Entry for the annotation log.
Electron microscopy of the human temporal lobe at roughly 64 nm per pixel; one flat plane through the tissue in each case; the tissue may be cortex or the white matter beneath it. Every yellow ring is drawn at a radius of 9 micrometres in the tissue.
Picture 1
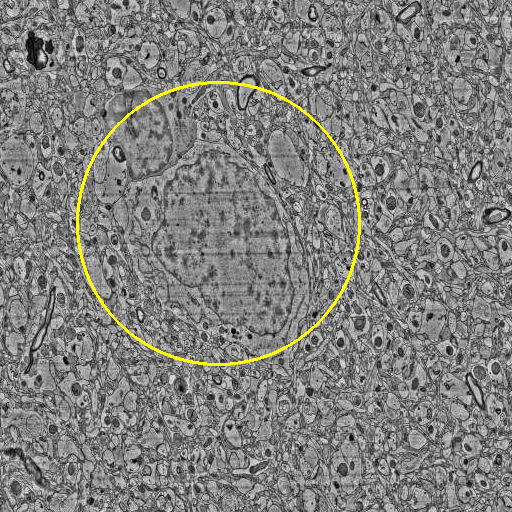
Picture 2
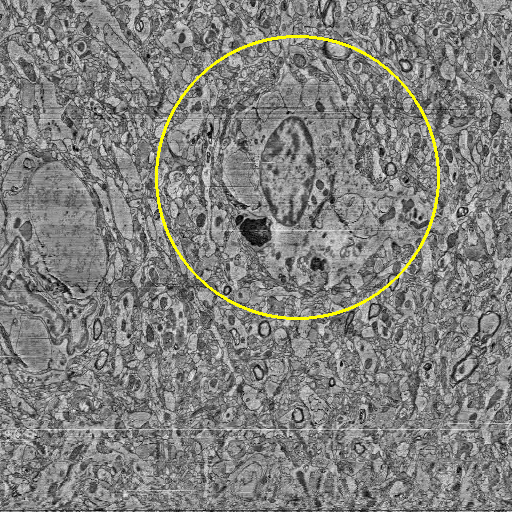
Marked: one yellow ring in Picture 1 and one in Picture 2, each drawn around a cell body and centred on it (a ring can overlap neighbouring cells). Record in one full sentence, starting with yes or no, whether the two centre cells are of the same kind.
No, the two cells are of two kinds.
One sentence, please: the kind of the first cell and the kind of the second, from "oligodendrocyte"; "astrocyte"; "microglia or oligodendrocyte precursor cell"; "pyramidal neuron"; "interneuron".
The ring in the first picture surrounds an interneuron, and the ring in the second surrounds an astrocyte.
